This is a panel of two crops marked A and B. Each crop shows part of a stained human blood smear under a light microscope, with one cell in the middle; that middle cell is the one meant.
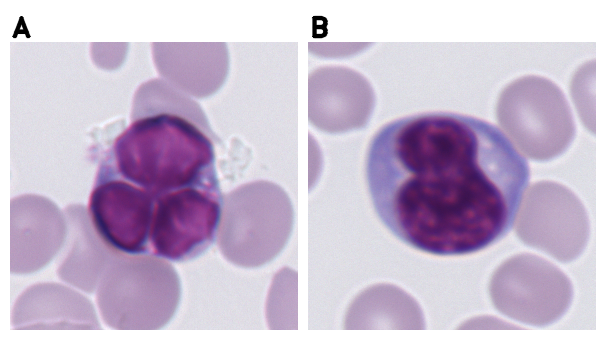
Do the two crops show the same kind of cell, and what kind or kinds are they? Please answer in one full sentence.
Yes, both crops contain large granular lymphocytes at their centres.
